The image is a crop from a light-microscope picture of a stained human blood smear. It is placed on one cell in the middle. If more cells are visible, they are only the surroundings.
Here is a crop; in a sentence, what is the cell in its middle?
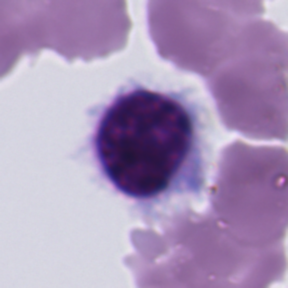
Here the cell in the middle is a hairy cell.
